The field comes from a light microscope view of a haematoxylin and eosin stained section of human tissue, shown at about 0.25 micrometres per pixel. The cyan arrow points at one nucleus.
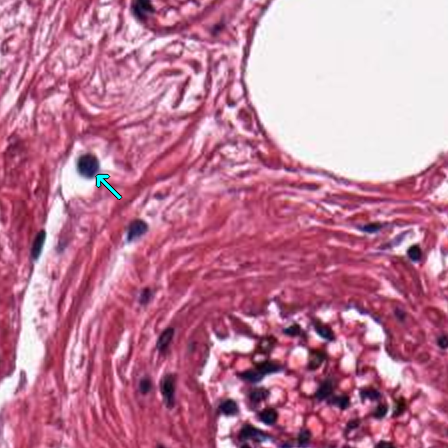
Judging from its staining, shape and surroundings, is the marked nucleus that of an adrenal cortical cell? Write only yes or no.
no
